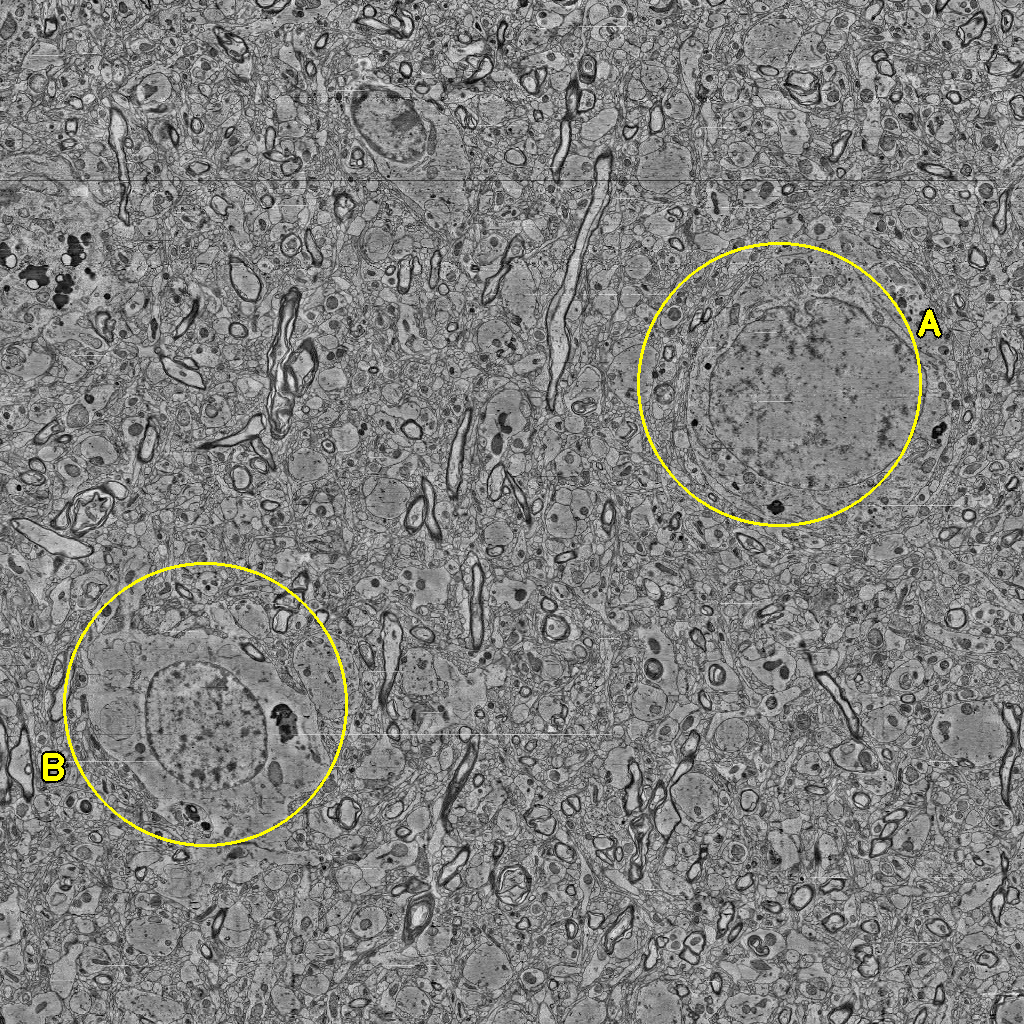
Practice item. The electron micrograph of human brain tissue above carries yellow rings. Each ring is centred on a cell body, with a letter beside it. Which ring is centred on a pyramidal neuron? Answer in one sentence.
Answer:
Ring A is centred on it.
